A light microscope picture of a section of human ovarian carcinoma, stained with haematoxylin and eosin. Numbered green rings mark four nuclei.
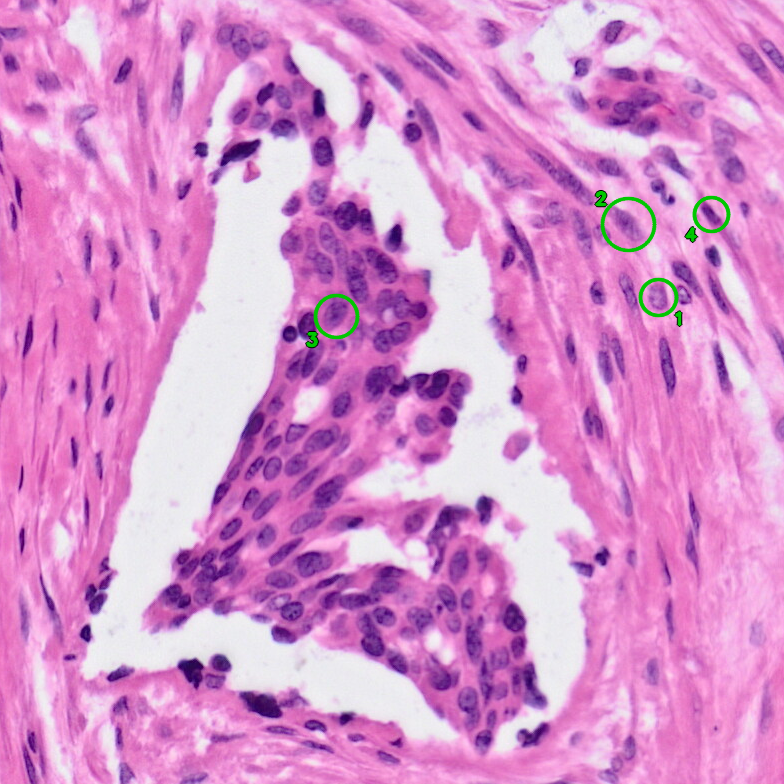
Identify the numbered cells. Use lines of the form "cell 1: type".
cell 1: fibroblast
cell 2: fibroblast
cell 3: carcinoma cell
cell 4: fibroblast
